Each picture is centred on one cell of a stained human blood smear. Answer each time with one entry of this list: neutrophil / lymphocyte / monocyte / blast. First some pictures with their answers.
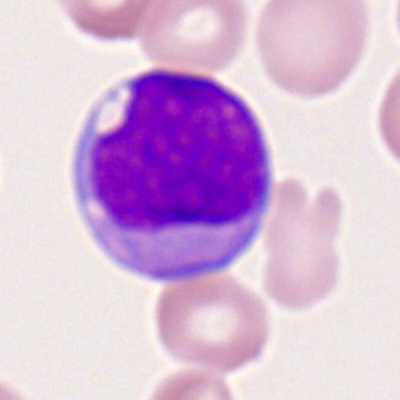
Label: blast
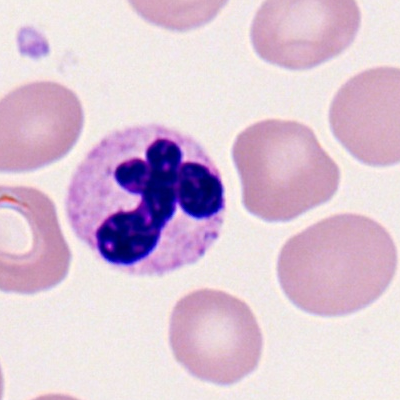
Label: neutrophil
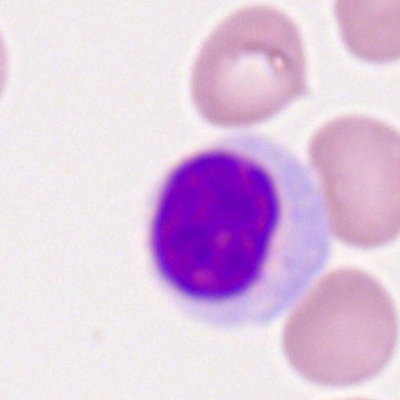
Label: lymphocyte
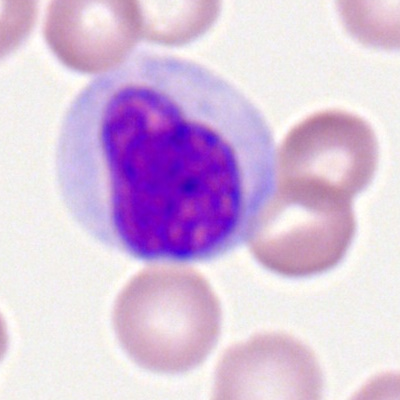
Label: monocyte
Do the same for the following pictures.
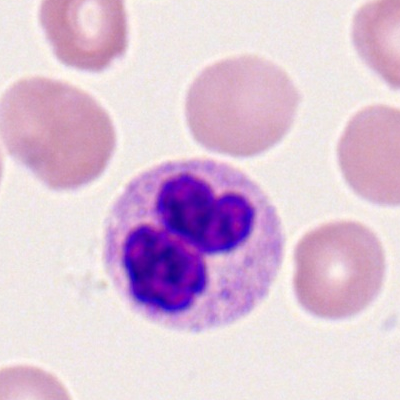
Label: neutrophil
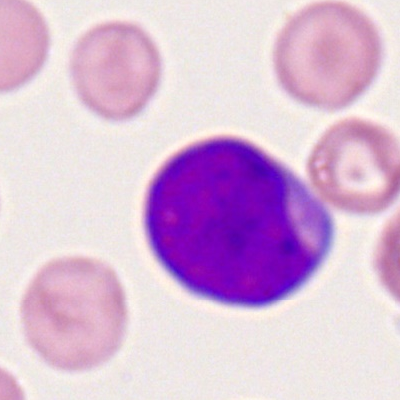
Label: blast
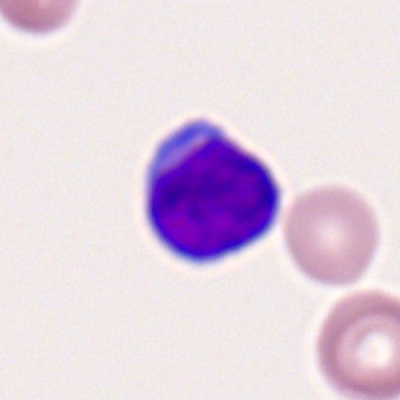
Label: lymphocyte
